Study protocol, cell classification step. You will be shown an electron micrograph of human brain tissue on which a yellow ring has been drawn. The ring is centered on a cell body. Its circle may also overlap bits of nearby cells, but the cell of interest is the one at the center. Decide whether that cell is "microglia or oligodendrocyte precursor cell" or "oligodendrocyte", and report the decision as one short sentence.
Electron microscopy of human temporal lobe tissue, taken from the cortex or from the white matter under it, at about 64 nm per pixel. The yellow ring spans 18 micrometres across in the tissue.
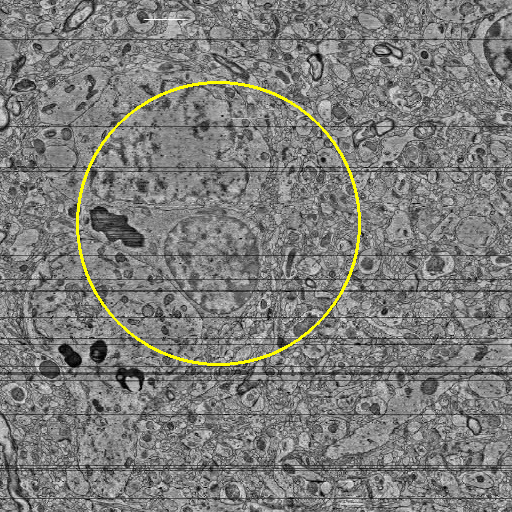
The marked cell is an oligodendrocyte.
